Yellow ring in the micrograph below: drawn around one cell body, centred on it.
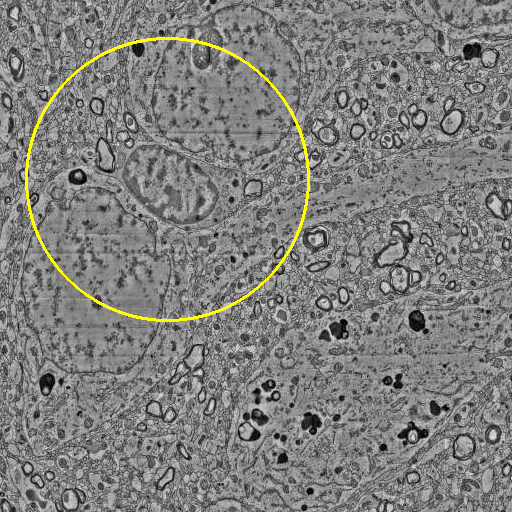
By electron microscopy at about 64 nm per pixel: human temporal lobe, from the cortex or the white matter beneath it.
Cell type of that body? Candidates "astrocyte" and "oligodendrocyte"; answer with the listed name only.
oligodendrocyte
